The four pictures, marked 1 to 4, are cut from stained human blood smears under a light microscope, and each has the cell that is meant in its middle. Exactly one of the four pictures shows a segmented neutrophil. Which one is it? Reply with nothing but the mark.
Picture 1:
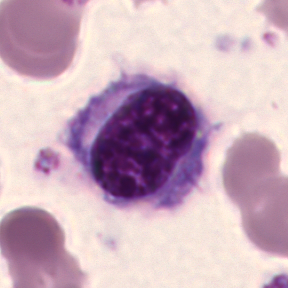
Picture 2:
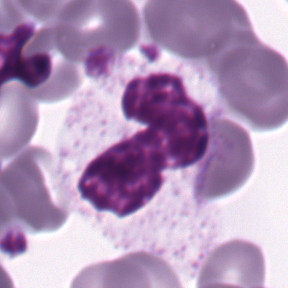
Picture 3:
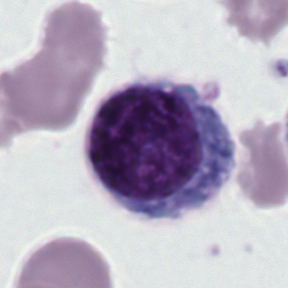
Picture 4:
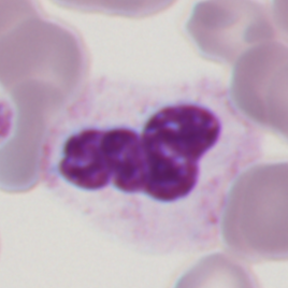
4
